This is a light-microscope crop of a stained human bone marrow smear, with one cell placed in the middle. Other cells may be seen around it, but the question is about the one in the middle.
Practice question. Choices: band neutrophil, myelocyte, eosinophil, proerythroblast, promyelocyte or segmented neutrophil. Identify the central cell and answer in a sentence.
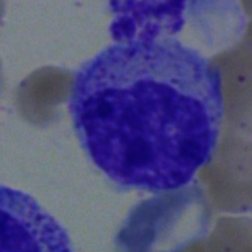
The cell shown in the center of this light-microscope crop is a myelocyte.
